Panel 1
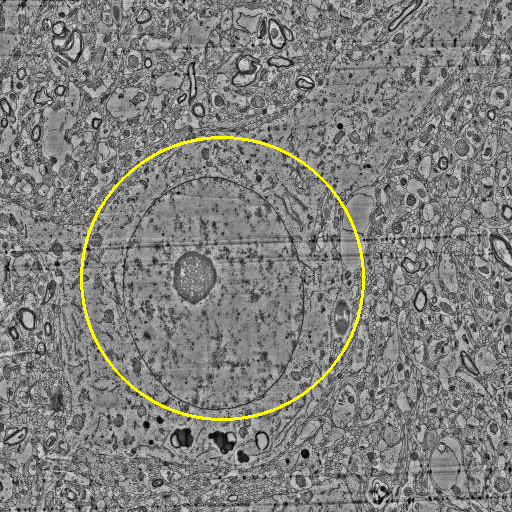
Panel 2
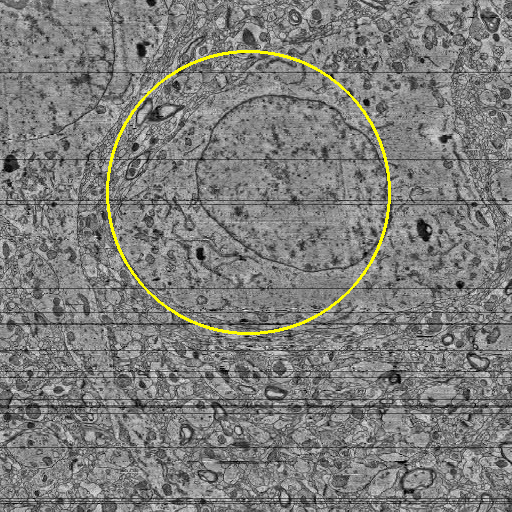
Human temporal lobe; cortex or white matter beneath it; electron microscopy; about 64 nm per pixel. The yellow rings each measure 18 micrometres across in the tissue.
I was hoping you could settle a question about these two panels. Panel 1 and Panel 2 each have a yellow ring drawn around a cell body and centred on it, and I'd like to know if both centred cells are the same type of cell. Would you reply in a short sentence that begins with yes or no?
Yes, both are the same type of cell.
